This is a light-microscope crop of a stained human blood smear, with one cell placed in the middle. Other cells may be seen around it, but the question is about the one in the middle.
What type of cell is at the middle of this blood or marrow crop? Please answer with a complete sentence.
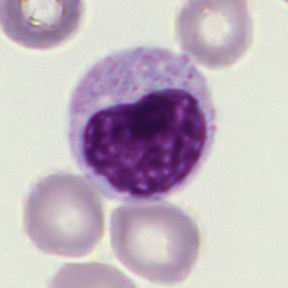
The central element of this crop is a cell, namely a metamyelocyte.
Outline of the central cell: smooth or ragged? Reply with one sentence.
The membrane contour is even and smooth, with nothing projecting from it.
